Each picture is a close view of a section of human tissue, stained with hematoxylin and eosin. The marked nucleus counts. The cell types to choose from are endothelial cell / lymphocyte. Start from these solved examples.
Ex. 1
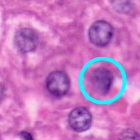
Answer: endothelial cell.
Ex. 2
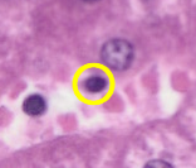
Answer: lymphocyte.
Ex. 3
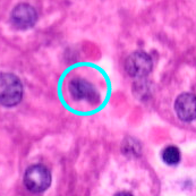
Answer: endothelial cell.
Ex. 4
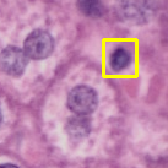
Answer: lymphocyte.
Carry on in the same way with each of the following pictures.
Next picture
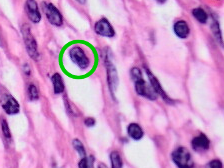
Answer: lymphocyte.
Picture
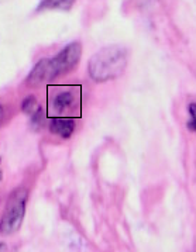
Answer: endothelial cell.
